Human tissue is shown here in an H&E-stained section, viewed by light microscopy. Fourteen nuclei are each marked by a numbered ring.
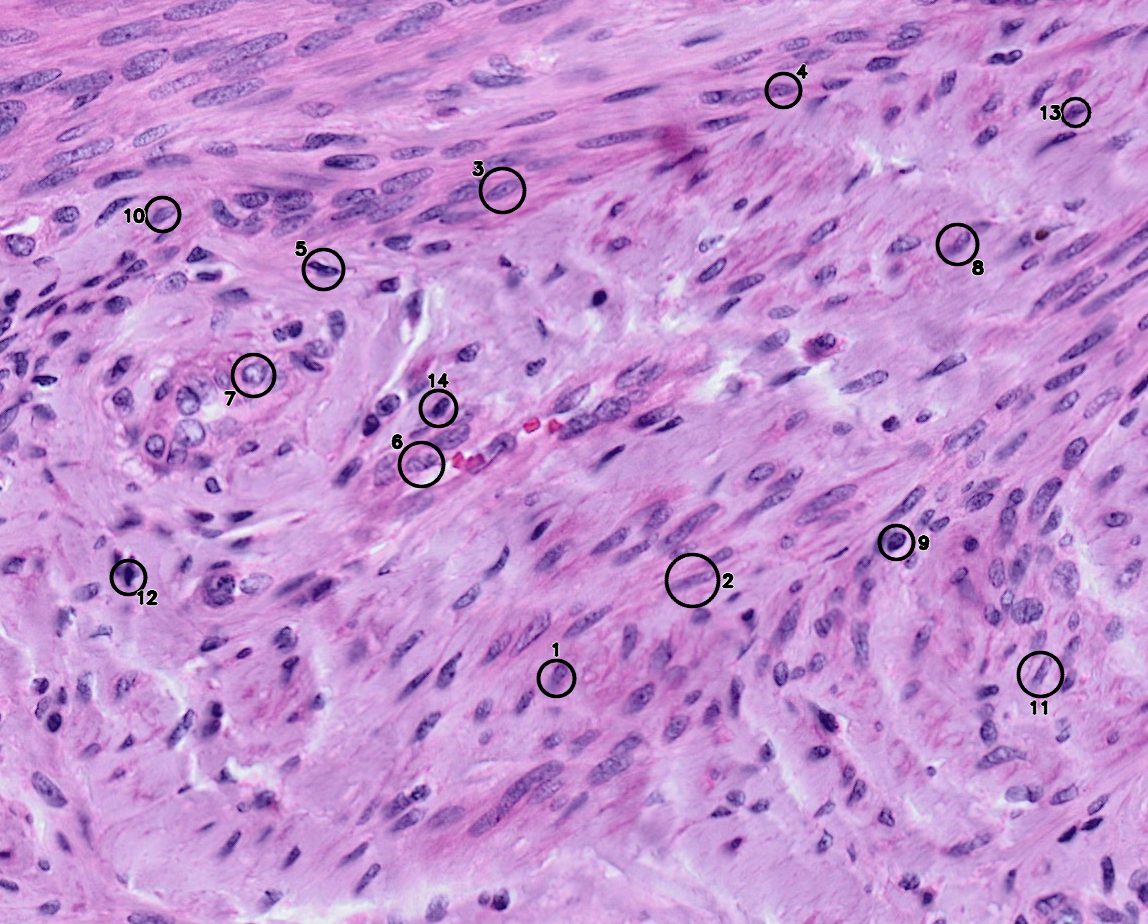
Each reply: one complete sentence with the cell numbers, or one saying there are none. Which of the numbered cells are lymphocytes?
The cells identified by the numbers 5, 9, 12 and 14 are lymphocytes.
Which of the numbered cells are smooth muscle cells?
The cells assigned the numbers 1, 2, 3, 4, 8, 10, 11 and 13 are smooth muscle cells.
